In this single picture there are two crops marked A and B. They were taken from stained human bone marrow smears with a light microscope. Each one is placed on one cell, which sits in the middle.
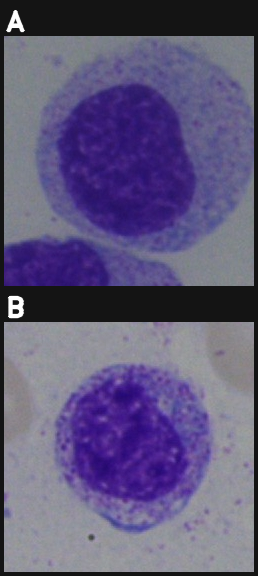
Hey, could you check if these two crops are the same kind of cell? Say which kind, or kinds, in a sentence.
Yes, the cells of interest in both crops are myelocytes.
